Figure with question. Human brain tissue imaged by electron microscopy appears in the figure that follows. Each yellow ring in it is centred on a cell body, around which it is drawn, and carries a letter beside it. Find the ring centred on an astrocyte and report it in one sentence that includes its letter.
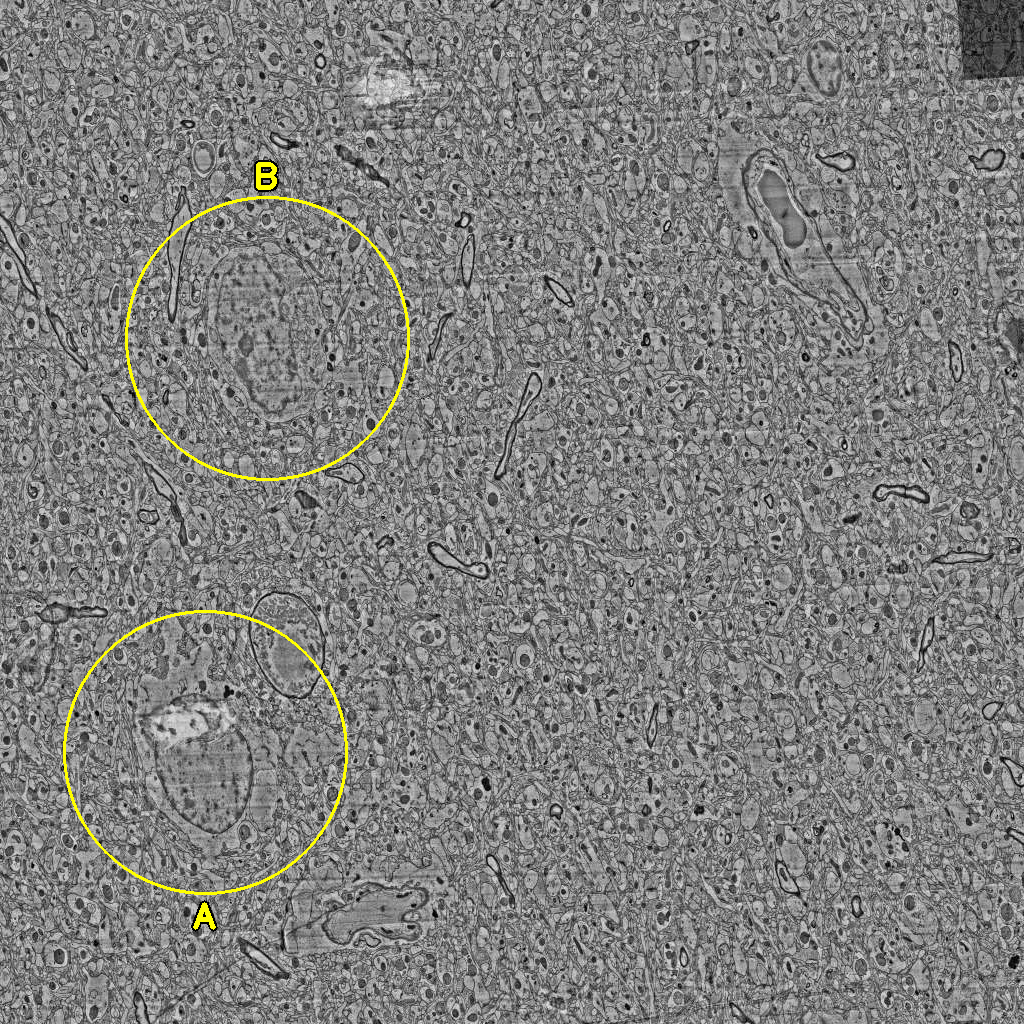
Ring A is the one centred on it.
